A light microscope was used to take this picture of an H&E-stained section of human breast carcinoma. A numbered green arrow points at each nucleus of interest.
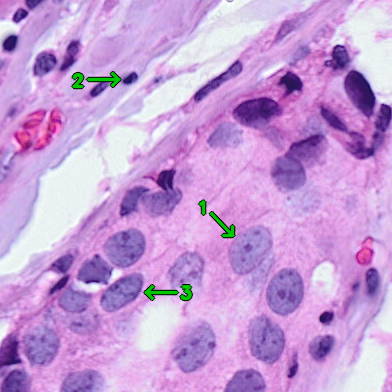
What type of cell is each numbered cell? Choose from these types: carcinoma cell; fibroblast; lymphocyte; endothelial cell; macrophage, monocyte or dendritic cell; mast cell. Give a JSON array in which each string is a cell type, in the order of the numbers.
["carcinoma cell", "lymphocyte", "carcinoma cell"]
